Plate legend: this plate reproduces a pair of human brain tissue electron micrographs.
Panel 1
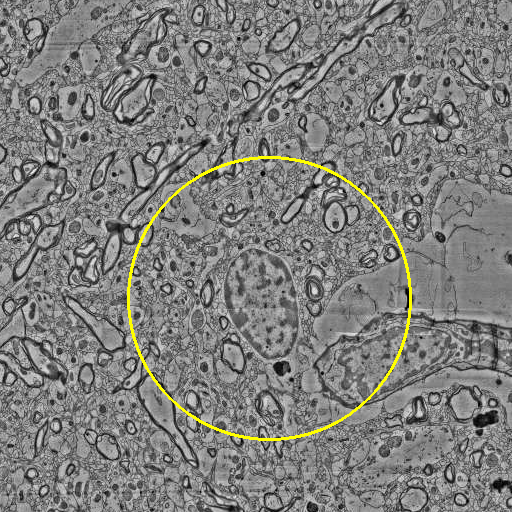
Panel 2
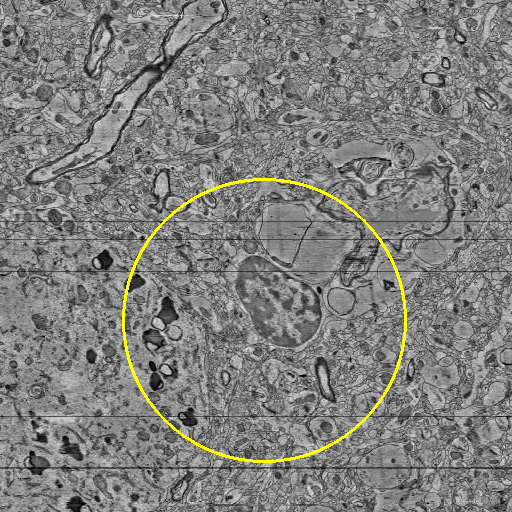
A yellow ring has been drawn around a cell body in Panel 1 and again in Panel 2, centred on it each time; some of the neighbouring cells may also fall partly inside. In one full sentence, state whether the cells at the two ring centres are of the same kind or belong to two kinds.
The ring-centred cells of Panel 1 and Panel 2 are of the same kind.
